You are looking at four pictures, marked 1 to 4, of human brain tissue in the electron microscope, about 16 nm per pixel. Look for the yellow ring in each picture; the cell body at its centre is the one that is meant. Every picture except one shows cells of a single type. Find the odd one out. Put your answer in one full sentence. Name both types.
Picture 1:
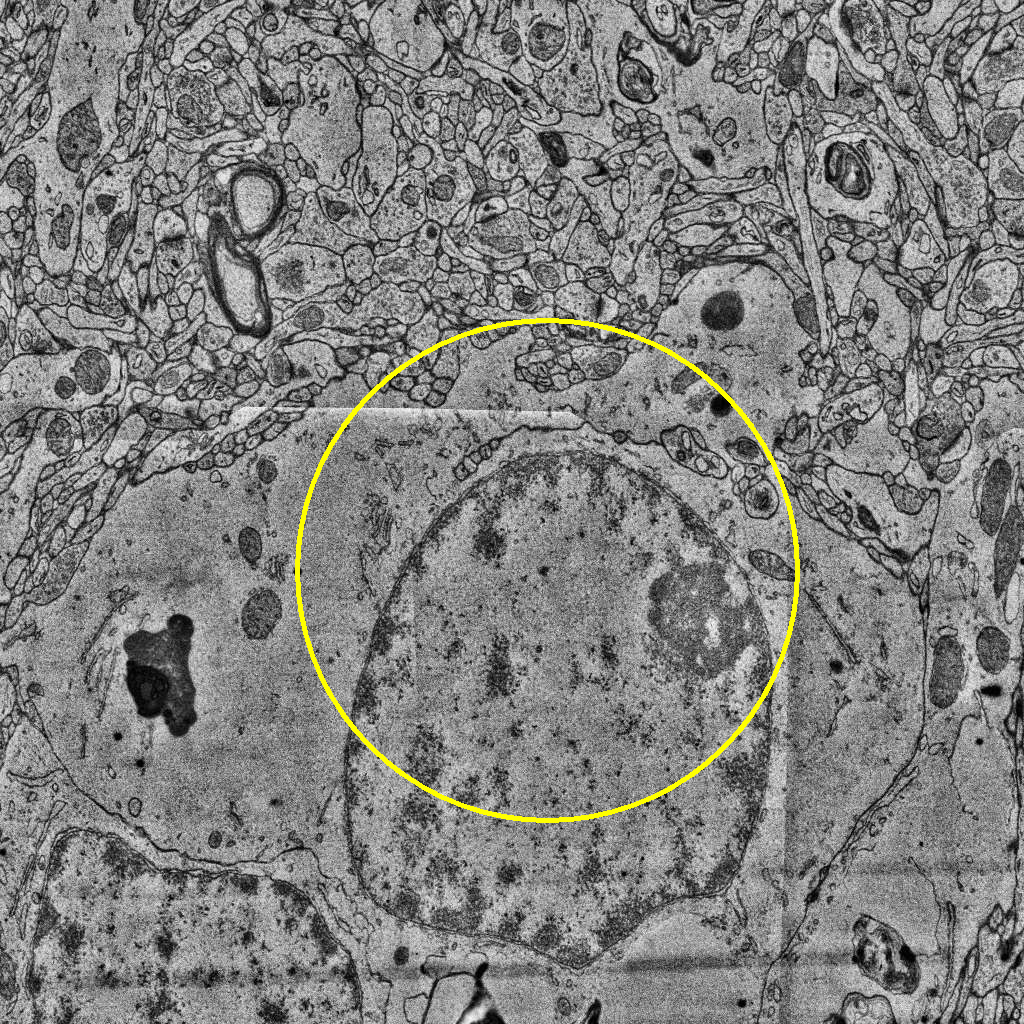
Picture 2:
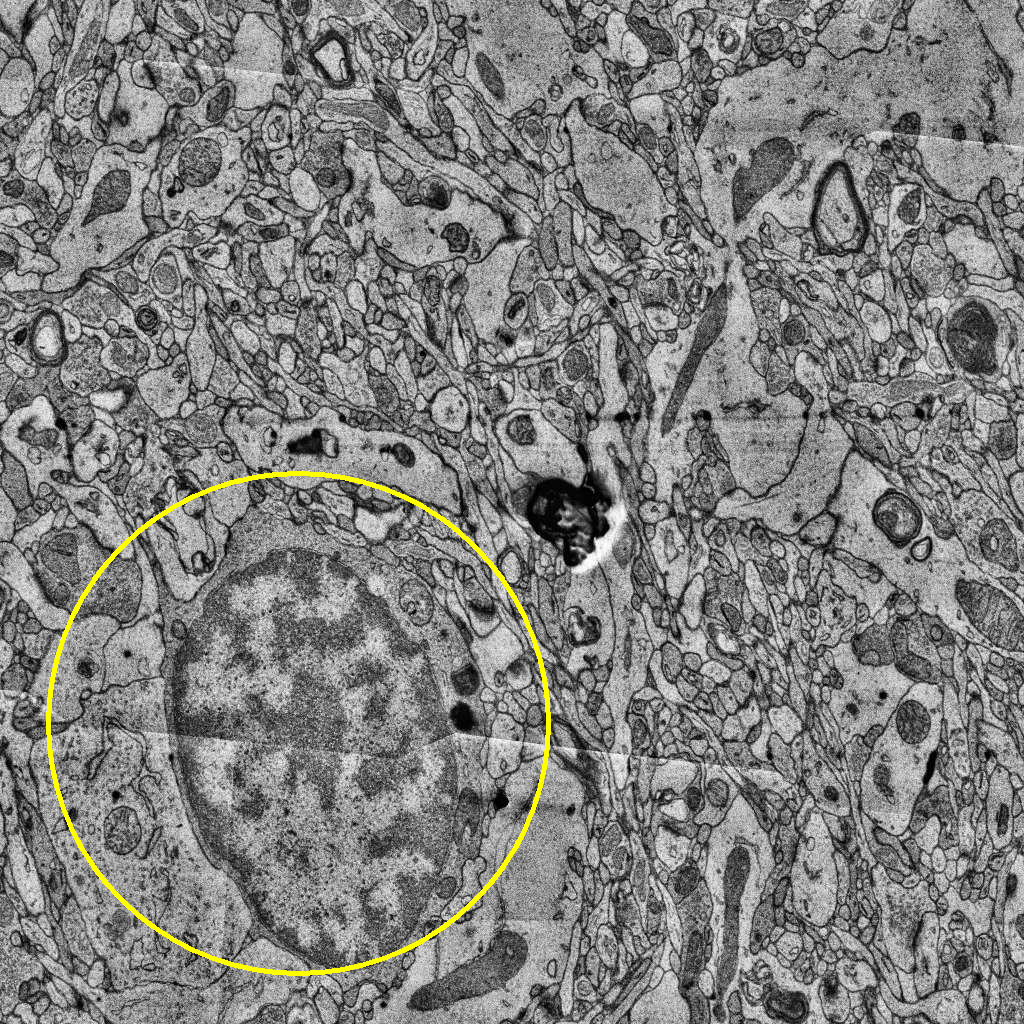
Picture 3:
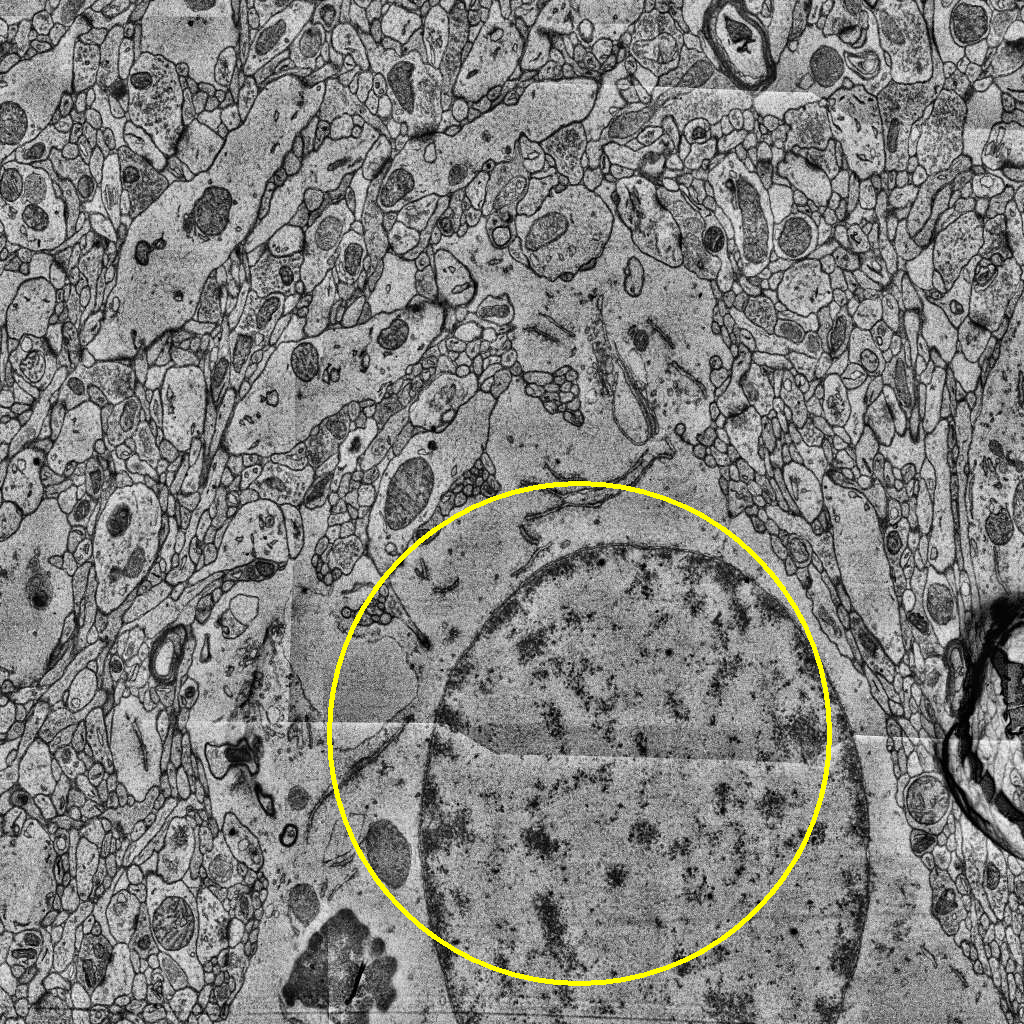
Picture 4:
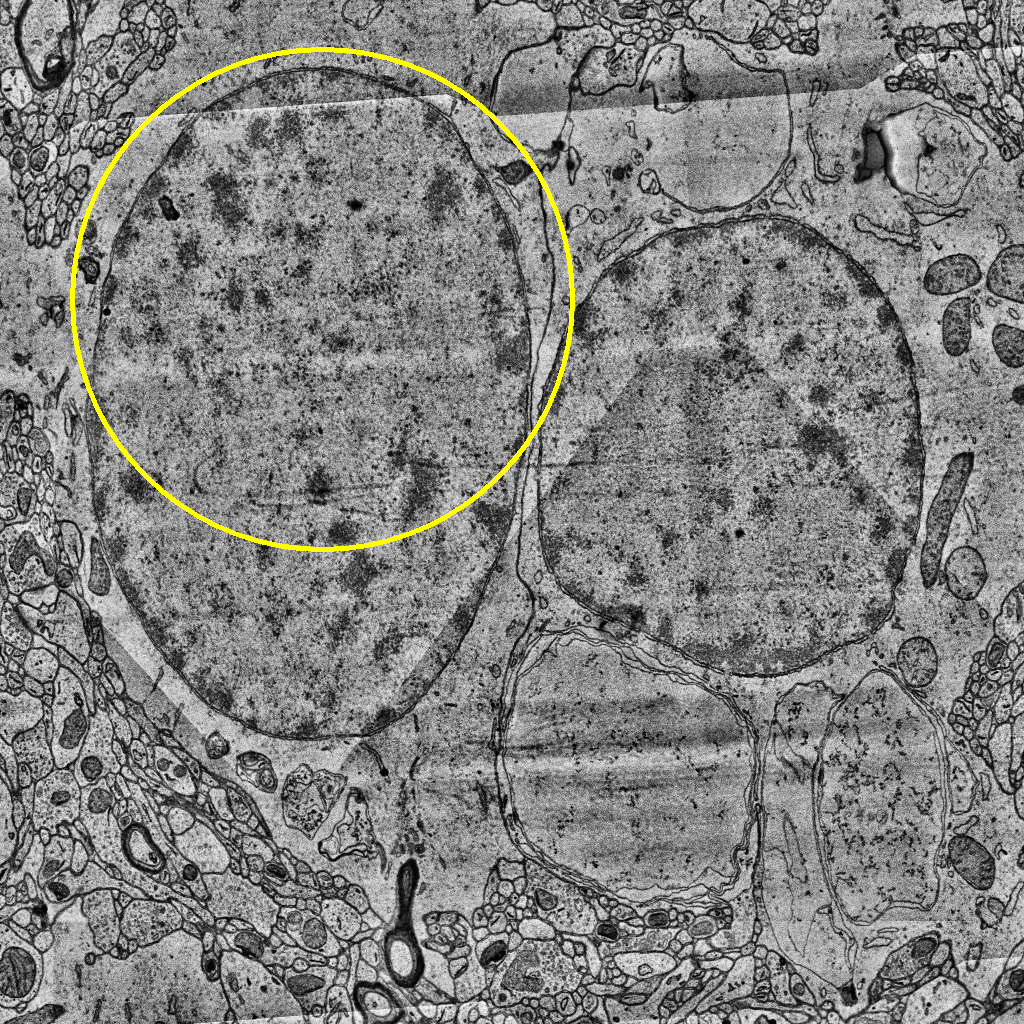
Picture 2 differs, because its cell is an oligodendrocyte and the rest are astrocytes.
